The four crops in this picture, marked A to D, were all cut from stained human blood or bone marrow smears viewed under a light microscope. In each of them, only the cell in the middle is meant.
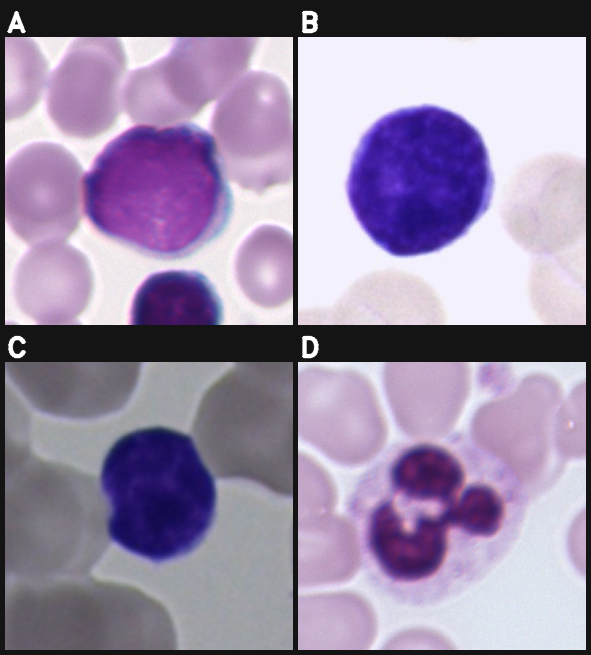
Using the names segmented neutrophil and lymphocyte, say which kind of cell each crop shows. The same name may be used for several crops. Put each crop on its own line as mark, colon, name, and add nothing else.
A: lymphocyte
B: lymphocyte
C: lymphocyte
D: segmented neutrophil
